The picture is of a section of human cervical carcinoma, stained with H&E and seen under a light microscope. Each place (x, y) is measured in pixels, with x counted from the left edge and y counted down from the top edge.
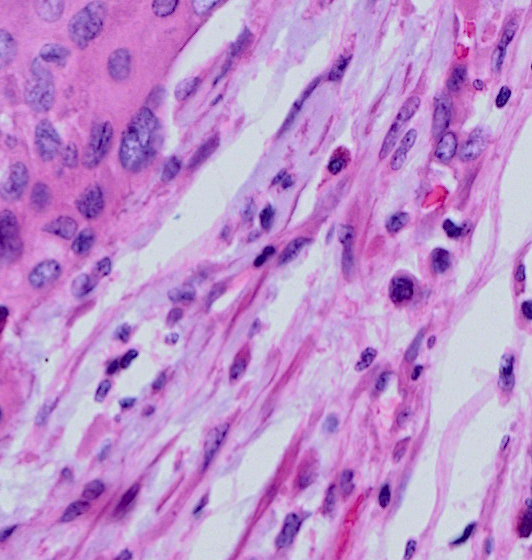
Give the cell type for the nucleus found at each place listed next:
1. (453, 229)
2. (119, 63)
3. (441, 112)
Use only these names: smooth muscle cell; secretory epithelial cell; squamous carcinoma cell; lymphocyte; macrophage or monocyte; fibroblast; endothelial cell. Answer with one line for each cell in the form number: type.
1: lymphocyte
2: squamous carcinoma cell
3: endothelial cell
